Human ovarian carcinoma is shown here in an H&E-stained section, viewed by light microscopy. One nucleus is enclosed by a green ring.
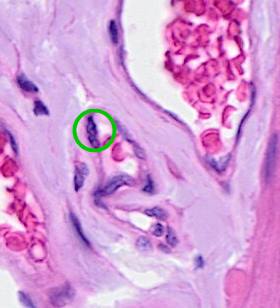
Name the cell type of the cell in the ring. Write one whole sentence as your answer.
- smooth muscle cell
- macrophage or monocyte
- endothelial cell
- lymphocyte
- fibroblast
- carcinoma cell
By cell type, the cell in the ring is an endothelial cell.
